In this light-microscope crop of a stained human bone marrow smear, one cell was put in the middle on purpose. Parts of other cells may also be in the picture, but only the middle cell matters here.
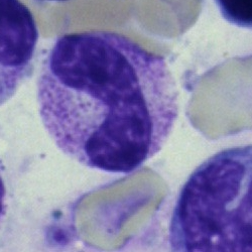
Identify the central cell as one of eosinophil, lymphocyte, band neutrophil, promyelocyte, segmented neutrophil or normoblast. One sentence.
The single cell at the center of the crop is a band neutrophil.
